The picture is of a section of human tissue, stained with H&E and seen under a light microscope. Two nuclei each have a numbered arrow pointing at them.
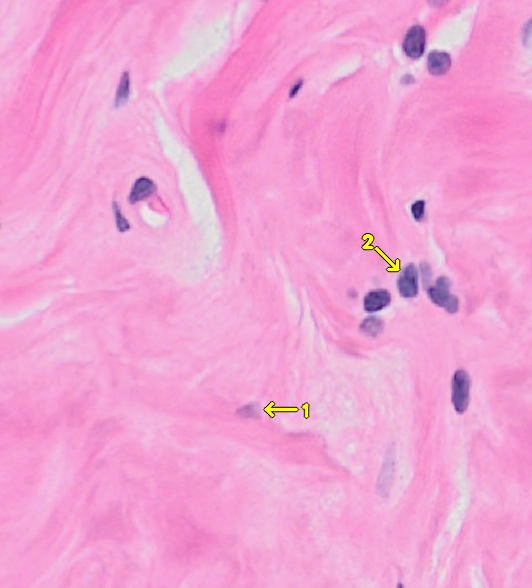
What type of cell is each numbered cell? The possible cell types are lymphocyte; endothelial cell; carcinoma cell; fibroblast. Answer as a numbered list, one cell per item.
1. fibroblast
2. lymphocyte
